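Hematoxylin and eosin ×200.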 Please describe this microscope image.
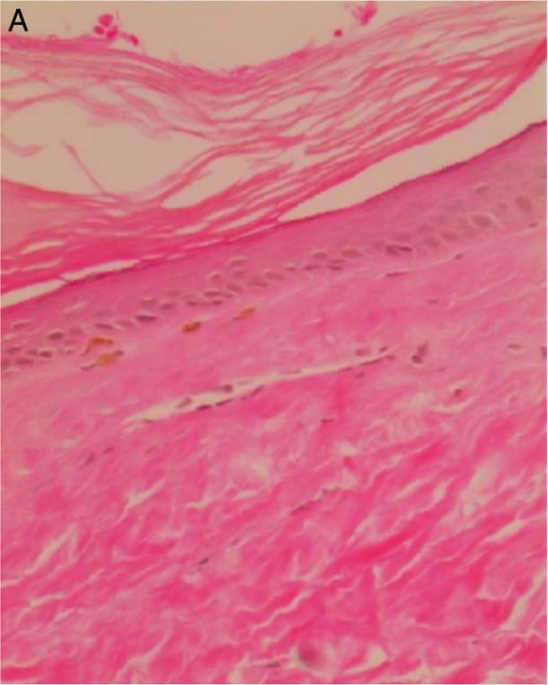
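This section of skin shows a thin epidermis lying over a dermis of dense, thickened collagen bundles. Above the epidermis, a loose layer of wavy, laminated pink keratin has partly lifted away from the surface. The epidermis is only a few cell layers thick, with small oval nuclei, and its lower border runs flat without rete ridges. A few brown pigment granules lie near the bottom of the epidermis. The dermis below is taken up by broad, compact pink collagen bundles with scattered, slender dark nuclei between them and a small, thin-walled vessel near its upper part.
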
